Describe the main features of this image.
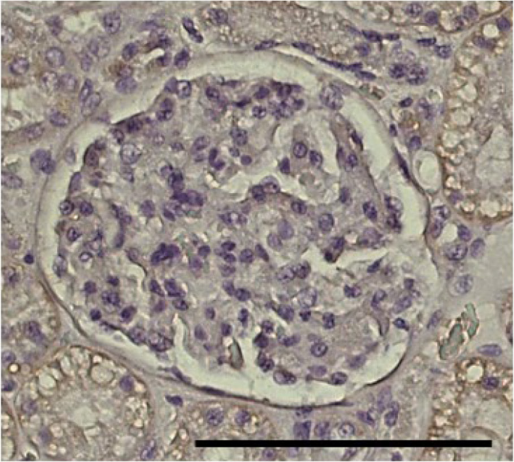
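A renal glomerulus is shown: a round, densely cellular capillary tuft with many blue-purple nuclei, separated from a thin capsule by only a narrow clear space. The tuft is pale, with little brown staining, and is counterstained mostly in blue and grey. Renal tubules with pale, finely vacuolated cytoplasm surround the capsule.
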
